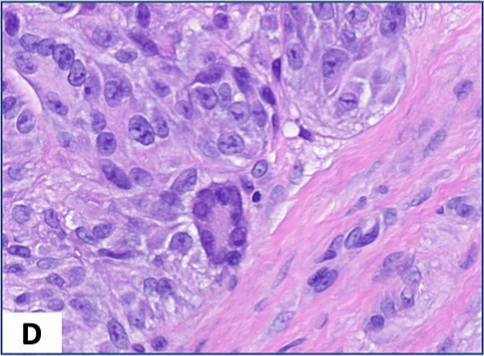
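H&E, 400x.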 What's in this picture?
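This high-power view shows tumor cells in nests with a multinucleated giant cell near the center. The giant cell is larger than its neighbours and holds several dark, clustered nuclei in a purple-pink cytoplasm. The surrounding tumor cells have oval nuclei with pale chromatin and visible nucleoli, and some have pale or vacuolated cytoplasm. A band of wavy pink collagen crosses the right side of the field, separating groups of cells.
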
